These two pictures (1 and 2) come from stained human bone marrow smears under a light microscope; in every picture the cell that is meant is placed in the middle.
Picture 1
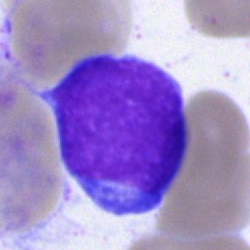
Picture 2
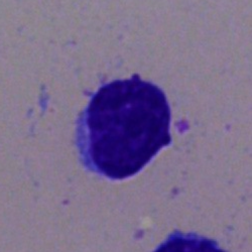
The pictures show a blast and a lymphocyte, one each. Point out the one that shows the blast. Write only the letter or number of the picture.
1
